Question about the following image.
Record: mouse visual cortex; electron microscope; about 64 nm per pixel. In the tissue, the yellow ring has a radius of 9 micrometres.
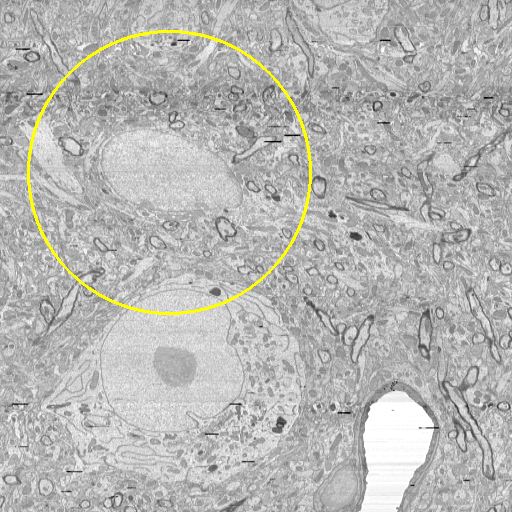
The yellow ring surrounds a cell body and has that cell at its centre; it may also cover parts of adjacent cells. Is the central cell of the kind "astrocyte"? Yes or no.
Yes, it is of that kind.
